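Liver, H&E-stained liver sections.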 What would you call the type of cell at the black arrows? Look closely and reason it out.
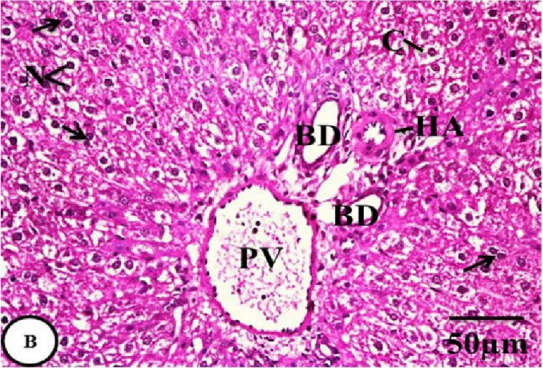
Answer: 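The arrows point to polygonal cells in the cords radiating from a vessel. On this evidence: binucleated cells.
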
